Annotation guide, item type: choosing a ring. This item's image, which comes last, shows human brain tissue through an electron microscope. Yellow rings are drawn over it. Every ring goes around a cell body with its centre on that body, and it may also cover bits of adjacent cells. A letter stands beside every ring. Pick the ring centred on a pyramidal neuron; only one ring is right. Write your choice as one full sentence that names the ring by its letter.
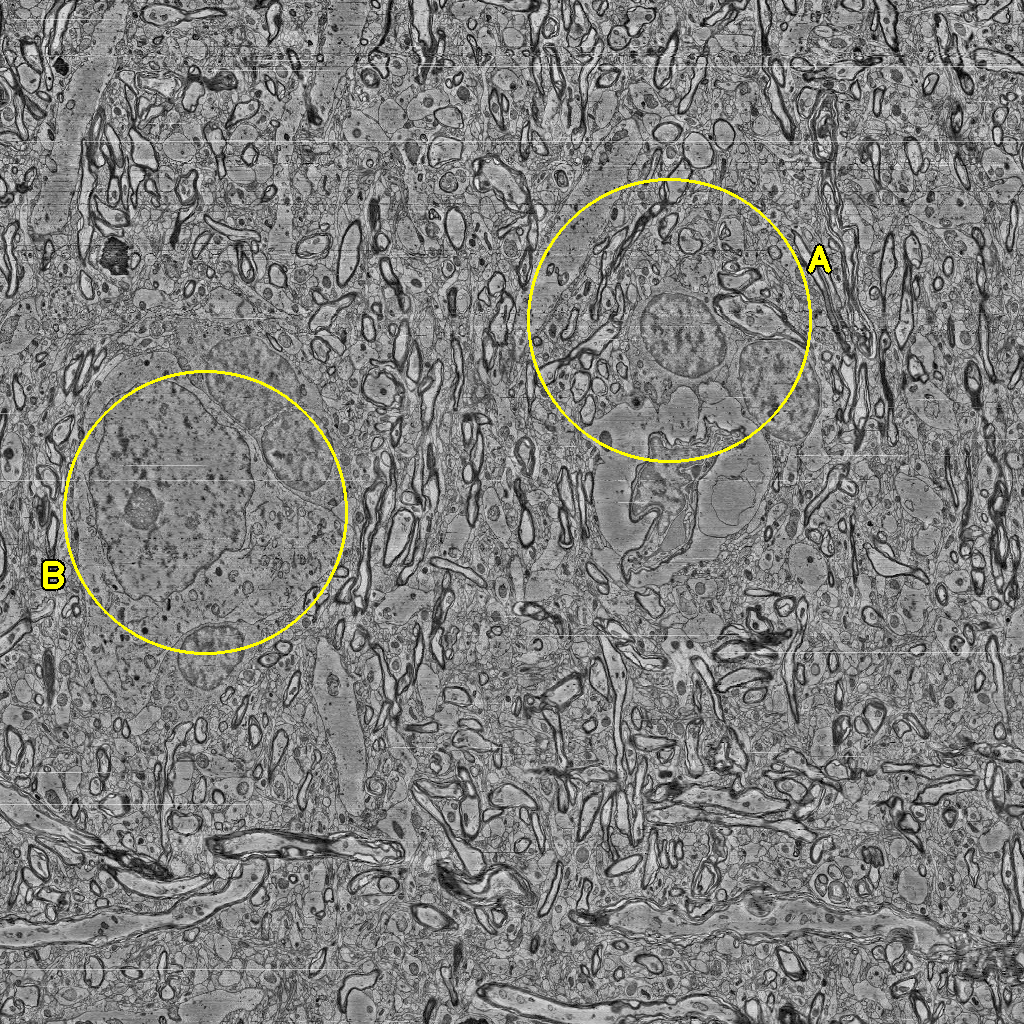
In the image, Ring B is centred on a cell of the kind requested.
